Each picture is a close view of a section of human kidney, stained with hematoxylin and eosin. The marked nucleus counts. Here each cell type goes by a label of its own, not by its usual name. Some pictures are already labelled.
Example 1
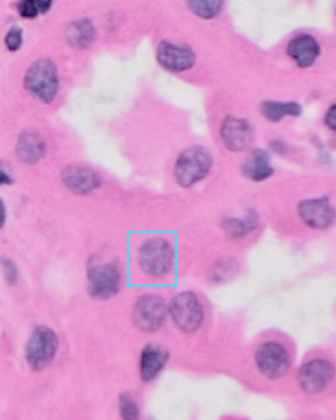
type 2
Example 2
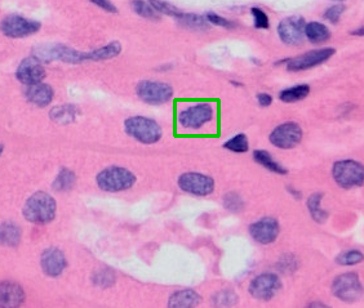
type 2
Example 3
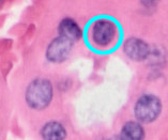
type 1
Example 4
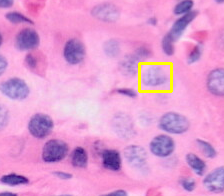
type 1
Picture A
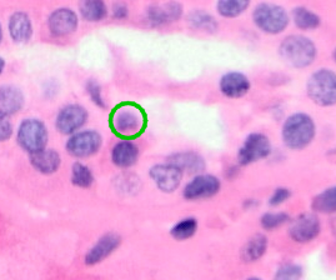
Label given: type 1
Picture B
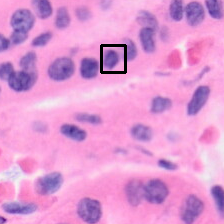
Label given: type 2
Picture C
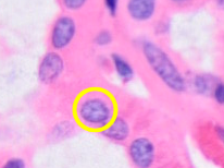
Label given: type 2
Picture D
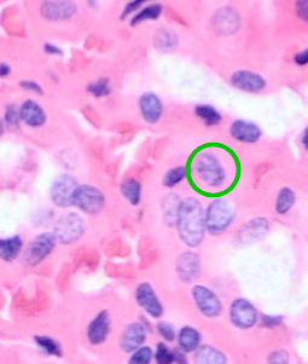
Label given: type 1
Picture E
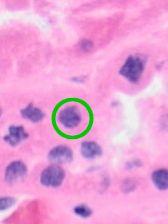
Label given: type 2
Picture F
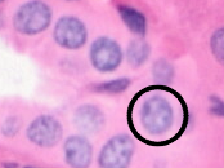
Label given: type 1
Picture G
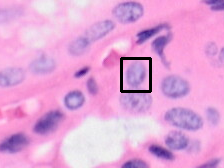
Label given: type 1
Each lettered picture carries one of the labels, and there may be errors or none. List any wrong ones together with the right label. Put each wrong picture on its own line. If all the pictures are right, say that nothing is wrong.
B is labelled type 2; correct label: type 1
